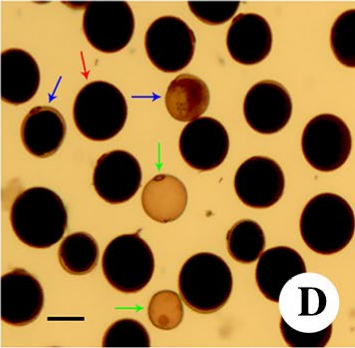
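Scattered among them are grains that look different: some are smaller or stained only brown and unevenly, with a paler rim or interior. Others are pale, translucent orange and seem empty, taking up almost no dark stain. These unstained and partly stained grains are abortive pollen lying beside the normal black ones.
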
